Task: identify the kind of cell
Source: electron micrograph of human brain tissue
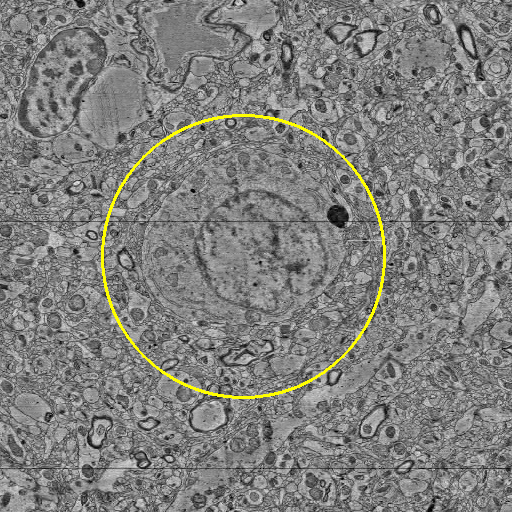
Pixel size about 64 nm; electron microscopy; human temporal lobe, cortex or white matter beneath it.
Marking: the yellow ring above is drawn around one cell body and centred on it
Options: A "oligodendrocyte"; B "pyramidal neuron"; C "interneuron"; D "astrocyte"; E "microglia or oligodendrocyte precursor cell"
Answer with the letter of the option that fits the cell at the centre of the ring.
C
